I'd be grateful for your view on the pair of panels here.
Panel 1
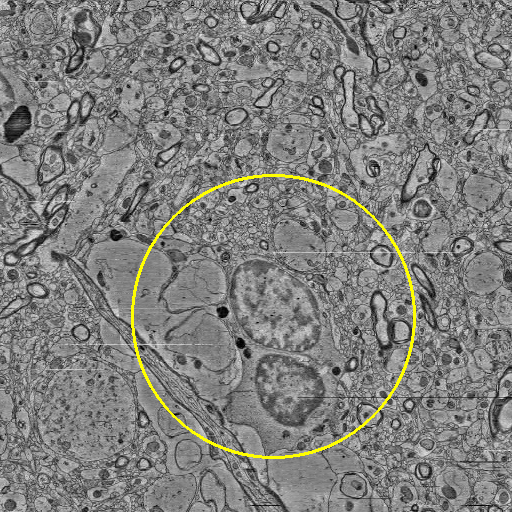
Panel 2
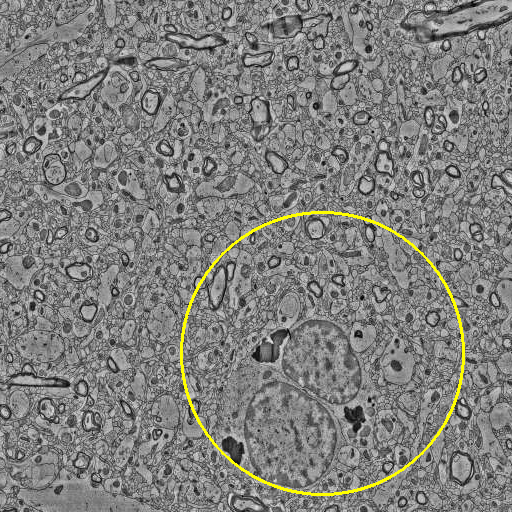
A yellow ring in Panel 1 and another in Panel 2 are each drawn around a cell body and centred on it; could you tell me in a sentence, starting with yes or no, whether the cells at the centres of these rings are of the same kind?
Yes, they are the same kind of cell.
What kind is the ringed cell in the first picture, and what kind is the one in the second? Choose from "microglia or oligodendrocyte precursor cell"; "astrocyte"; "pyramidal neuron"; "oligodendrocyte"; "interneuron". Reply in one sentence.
Each cell, in the first picture and the second, is an oligodendrocyte.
